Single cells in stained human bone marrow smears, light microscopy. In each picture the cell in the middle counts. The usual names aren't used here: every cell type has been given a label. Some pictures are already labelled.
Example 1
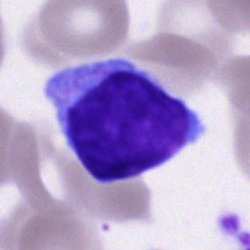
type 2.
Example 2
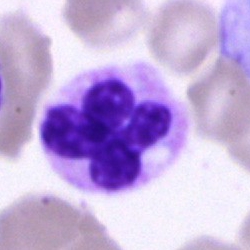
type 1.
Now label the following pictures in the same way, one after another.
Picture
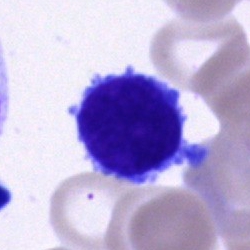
type 2.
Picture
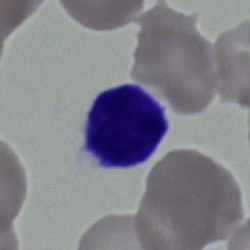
type 2.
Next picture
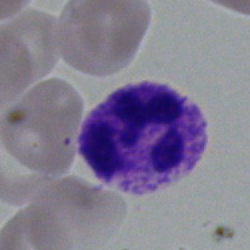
type 1.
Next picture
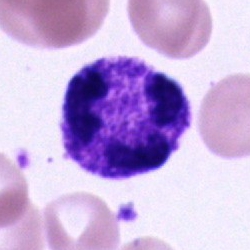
type 1.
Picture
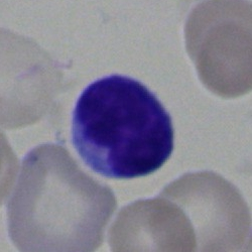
type 2.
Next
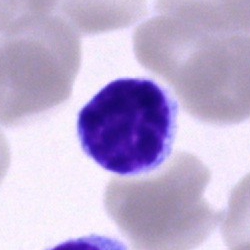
type 2.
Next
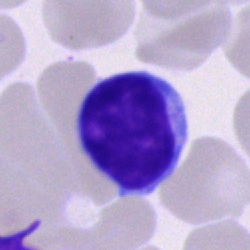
type 2.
